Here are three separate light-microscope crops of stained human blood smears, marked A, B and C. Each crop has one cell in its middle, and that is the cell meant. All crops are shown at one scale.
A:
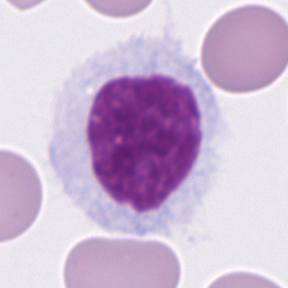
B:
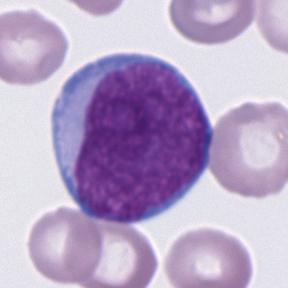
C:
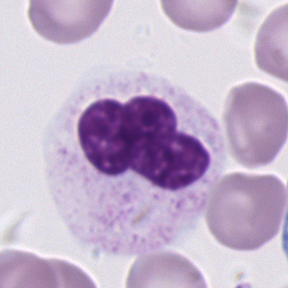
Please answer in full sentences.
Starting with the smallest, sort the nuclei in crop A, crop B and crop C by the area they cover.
Going up, they run C, A, B.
